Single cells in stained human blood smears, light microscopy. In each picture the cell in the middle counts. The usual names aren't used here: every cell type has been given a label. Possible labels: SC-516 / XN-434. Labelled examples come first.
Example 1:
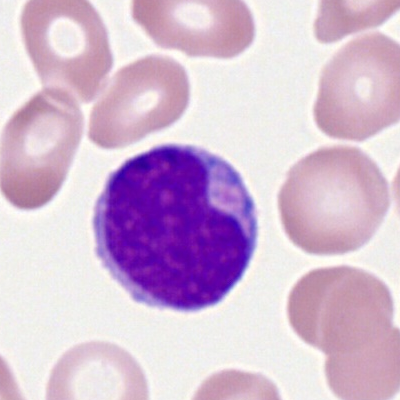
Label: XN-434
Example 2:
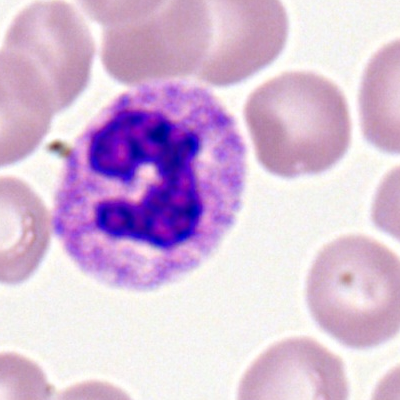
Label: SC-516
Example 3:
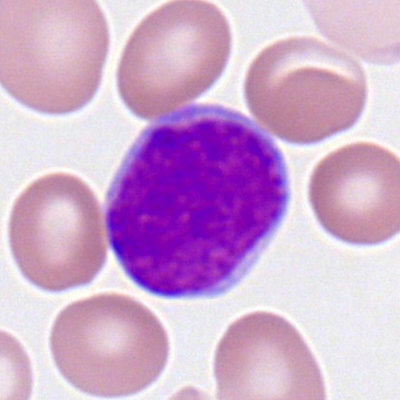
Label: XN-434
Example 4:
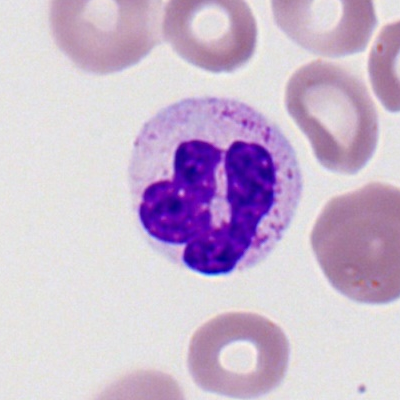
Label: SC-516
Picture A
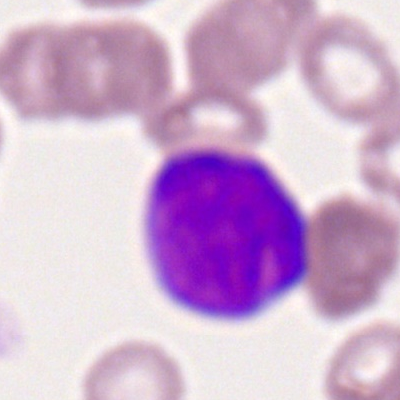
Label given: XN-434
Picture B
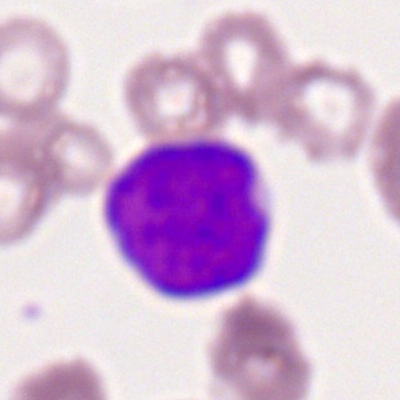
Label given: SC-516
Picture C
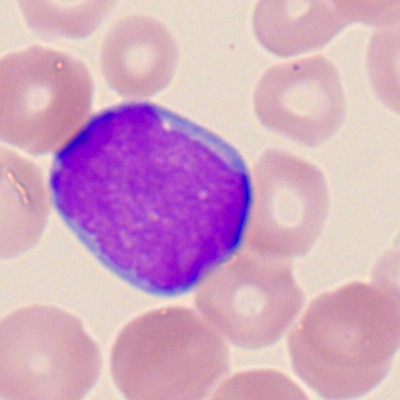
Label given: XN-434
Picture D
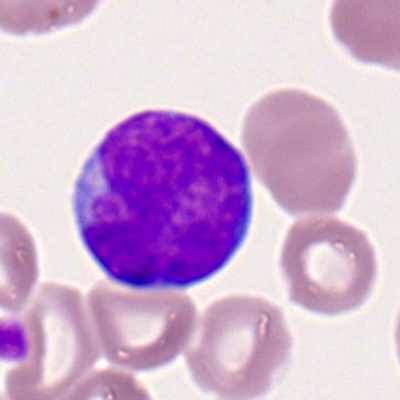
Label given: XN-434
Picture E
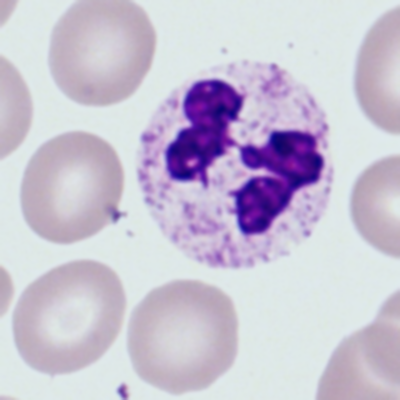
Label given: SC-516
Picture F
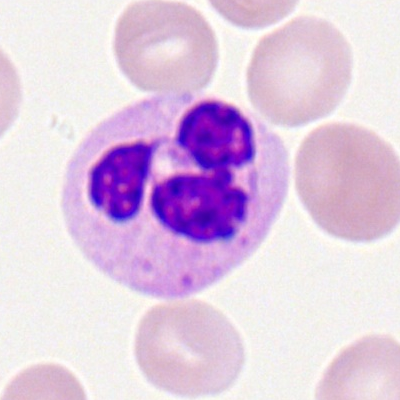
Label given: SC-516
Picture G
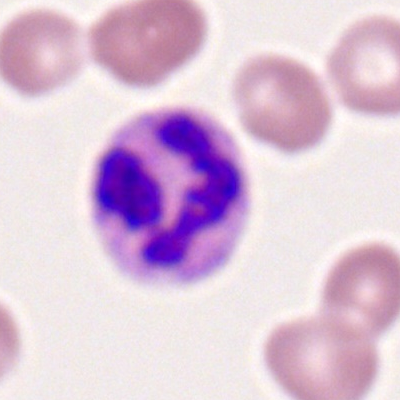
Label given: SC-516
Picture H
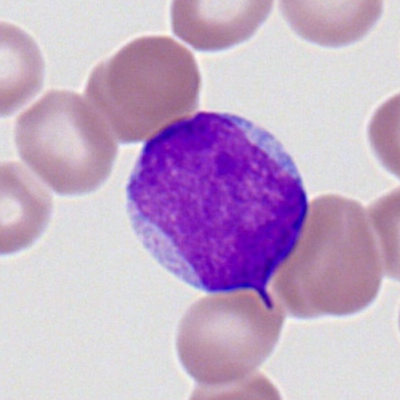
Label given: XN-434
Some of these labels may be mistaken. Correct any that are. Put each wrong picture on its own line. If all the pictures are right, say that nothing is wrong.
Wrong: B (SC-516); correct: XN-434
